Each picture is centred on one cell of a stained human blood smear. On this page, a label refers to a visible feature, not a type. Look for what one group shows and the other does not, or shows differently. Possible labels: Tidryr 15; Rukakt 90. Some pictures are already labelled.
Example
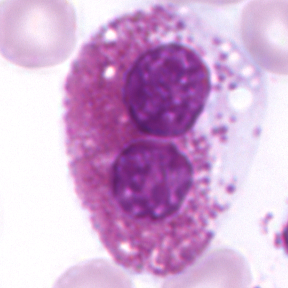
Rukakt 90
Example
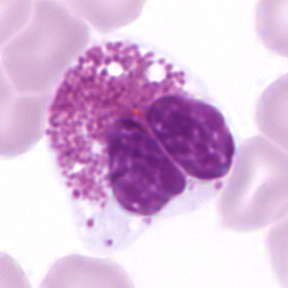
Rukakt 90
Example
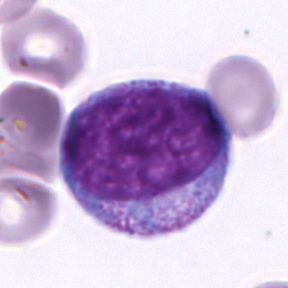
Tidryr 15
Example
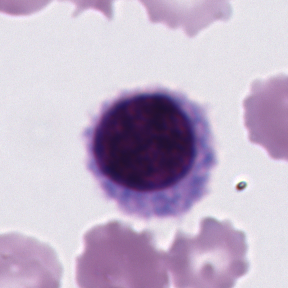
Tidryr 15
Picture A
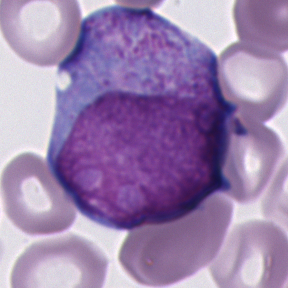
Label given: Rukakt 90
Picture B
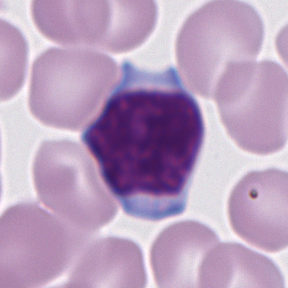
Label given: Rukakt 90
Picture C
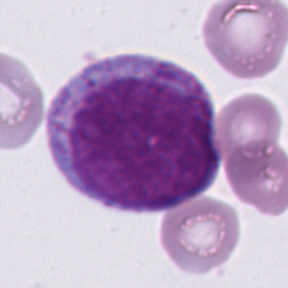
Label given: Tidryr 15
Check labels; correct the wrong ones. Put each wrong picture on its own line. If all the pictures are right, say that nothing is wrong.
B: Tidryr 15, not Rukakt 90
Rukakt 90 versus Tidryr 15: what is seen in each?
In Rukakt 90: vacuoles present. In Tidryr 15: no vacuoles.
